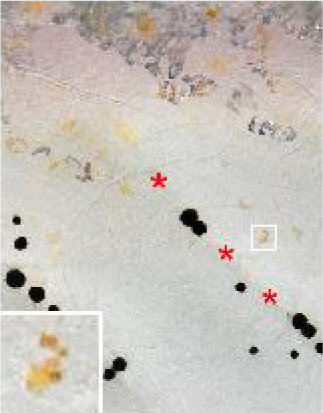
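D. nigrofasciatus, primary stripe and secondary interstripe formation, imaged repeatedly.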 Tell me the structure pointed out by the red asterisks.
Vertical myosepta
